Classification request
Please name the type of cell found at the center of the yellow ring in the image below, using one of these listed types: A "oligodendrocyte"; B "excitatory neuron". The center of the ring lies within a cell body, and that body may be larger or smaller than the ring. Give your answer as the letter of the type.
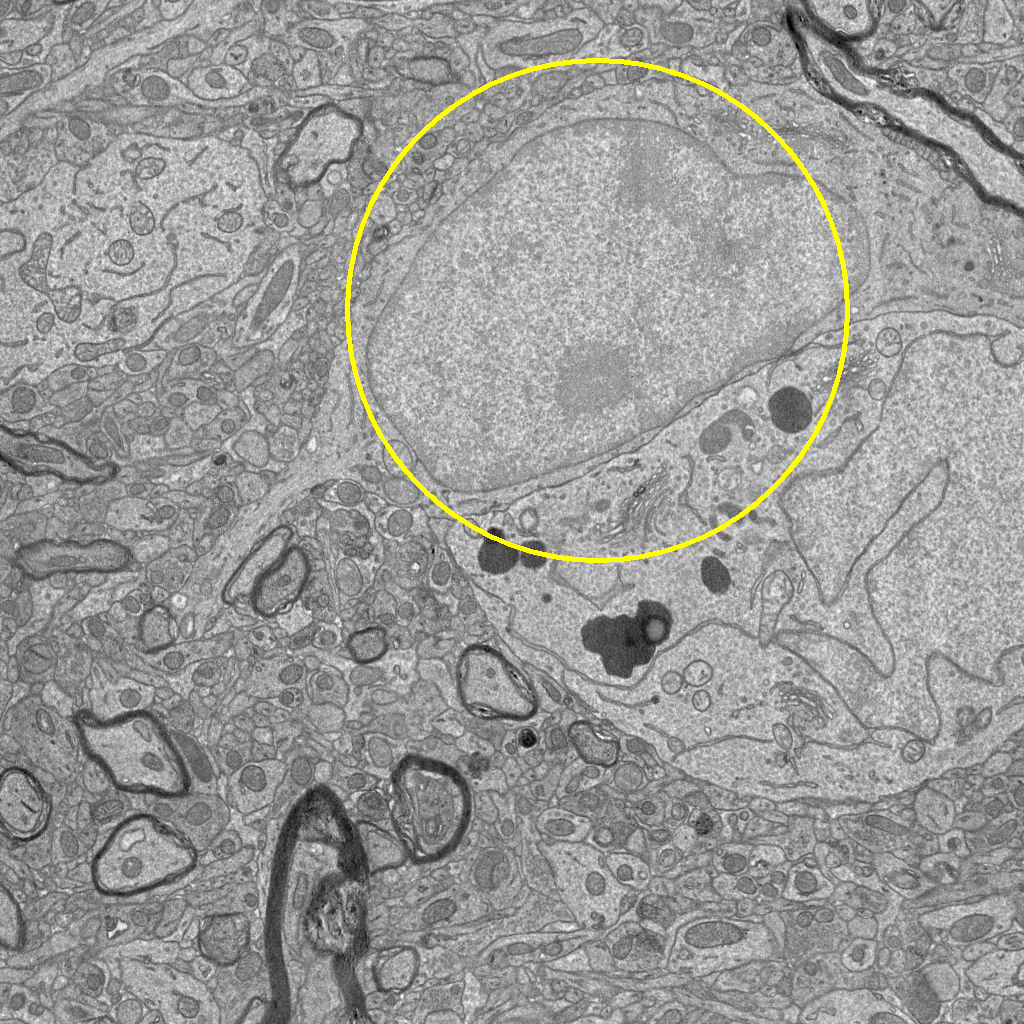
A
